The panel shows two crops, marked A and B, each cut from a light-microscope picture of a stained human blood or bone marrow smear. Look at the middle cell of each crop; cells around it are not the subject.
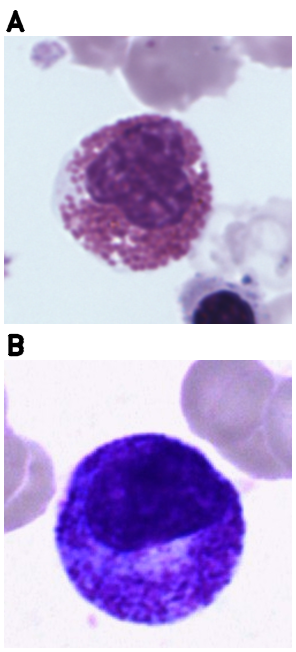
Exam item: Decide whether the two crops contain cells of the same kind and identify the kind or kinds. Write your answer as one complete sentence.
No, the assignment should read crop A, an eosinophil; crop B, a promyelocyte.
